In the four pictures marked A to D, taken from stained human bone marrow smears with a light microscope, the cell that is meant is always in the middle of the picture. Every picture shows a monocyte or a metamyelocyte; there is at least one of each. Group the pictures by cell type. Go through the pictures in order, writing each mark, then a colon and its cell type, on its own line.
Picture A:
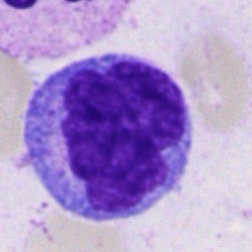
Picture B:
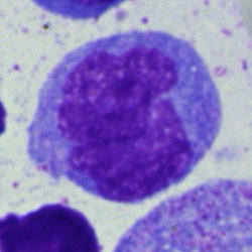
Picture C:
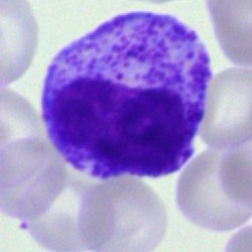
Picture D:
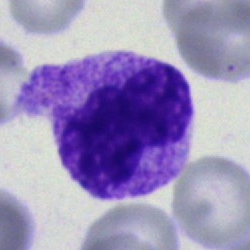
A: monocyte
B: monocyte
C: metamyelocyte
D: metamyelocyte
